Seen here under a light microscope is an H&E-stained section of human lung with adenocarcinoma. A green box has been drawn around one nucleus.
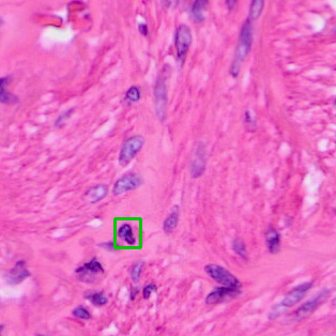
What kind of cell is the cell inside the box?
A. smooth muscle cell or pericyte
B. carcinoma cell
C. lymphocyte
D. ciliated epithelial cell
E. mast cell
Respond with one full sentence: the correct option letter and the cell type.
The correct identification, the cell inside the box as a mast cell, is given by option E.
